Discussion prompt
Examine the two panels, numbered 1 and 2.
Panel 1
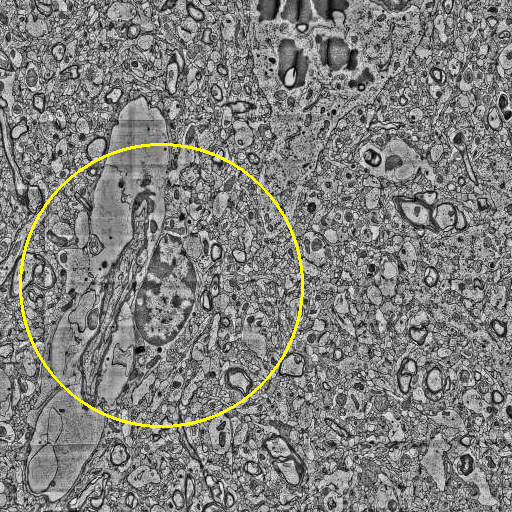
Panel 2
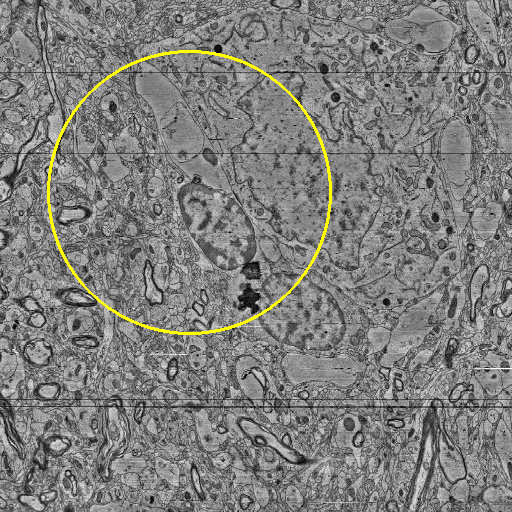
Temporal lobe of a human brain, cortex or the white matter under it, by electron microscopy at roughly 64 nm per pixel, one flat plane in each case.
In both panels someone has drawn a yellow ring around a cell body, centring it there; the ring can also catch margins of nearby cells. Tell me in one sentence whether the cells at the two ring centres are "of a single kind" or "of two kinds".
Taken together, the two cells centred in the rings of Panels 1 and 2 are of a single kind.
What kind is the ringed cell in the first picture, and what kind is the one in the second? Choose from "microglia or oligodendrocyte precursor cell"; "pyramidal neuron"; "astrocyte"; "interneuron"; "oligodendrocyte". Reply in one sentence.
The cell in the first picture is a microglial cell or oligodendrocyte precursor cell, and so is the one in the second.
